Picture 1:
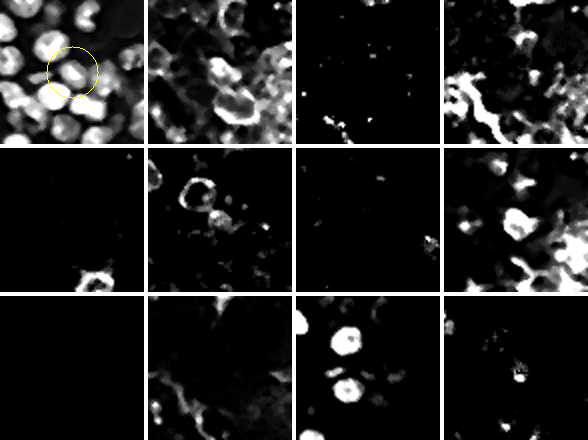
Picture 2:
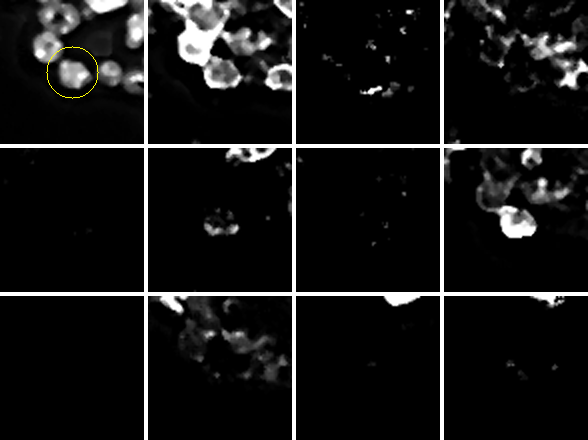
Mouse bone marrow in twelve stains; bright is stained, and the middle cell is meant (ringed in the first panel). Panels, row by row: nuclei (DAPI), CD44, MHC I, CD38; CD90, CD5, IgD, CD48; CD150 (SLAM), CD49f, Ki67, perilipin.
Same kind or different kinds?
Same: monocytes.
